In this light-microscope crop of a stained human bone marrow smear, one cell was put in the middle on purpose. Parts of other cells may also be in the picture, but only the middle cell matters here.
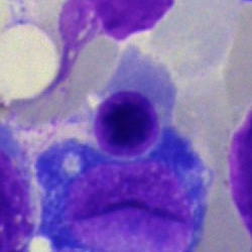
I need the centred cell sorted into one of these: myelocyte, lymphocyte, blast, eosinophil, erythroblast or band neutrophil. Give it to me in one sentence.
Standing at the centre of this crop is an erythroblast.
